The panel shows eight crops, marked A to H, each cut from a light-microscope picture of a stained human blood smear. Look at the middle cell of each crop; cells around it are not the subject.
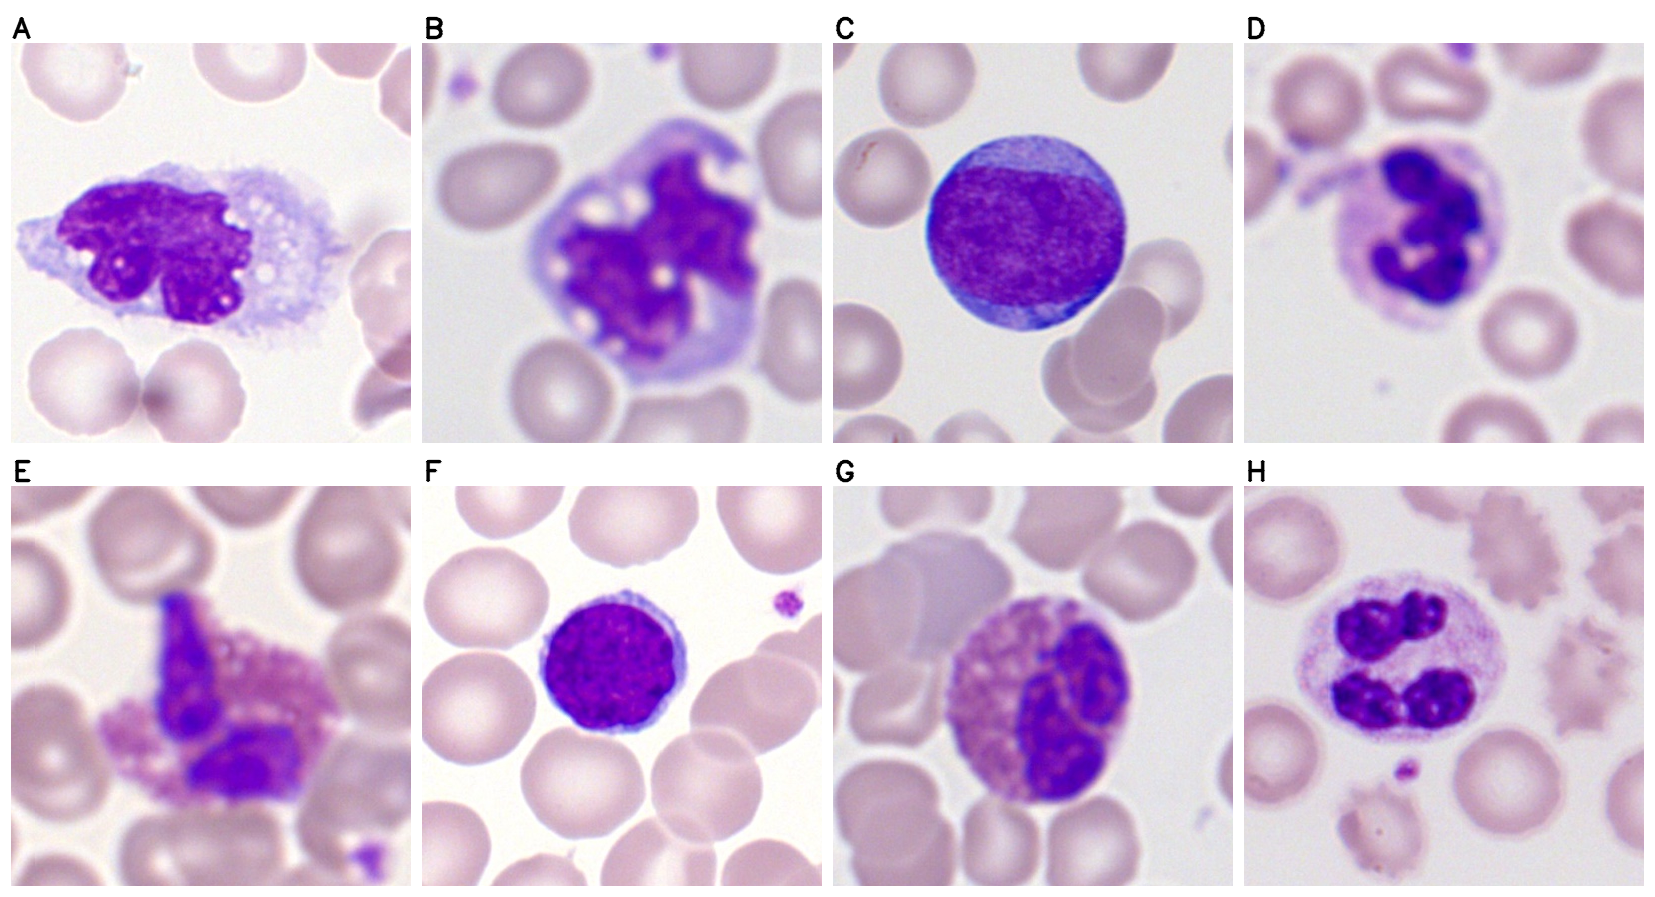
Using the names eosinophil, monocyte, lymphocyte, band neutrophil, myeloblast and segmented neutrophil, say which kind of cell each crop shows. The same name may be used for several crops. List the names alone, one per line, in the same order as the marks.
monocyte
monocyte
myeloblast
segmented neutrophil
eosinophil
lymphocyte
eosinophil
segmented neutrophil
